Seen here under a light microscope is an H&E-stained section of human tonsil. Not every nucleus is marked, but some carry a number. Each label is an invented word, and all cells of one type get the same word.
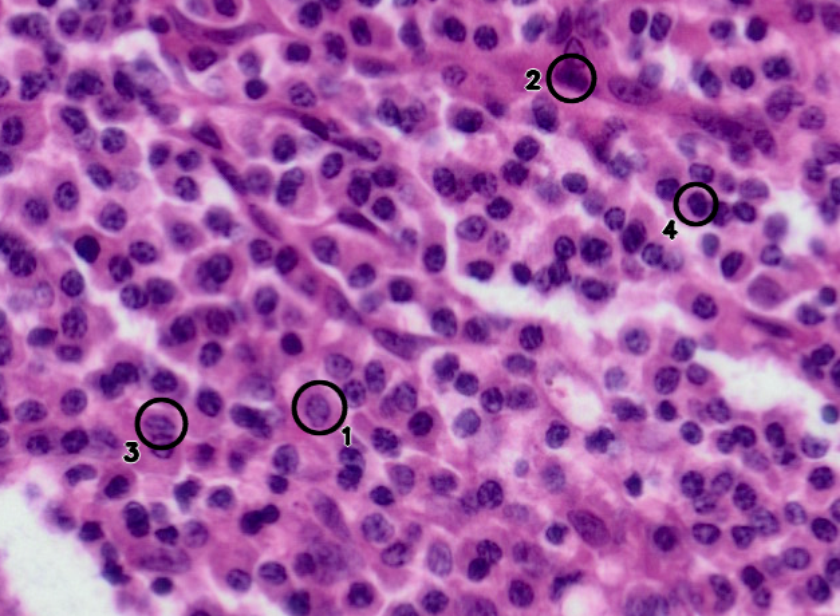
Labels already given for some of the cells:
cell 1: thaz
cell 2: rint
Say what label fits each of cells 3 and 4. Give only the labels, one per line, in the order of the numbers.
thaz
thaz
